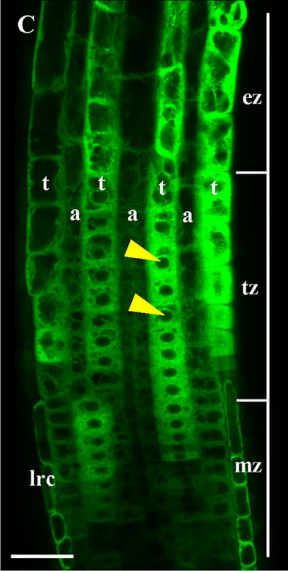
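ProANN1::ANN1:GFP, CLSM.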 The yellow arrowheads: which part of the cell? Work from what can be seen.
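The yellow arrowheads point to dark round holes inside brightly fluorescent cells. Each dark hole sits roughly central in a rectangular cell. That points to this answer: nuclei.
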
